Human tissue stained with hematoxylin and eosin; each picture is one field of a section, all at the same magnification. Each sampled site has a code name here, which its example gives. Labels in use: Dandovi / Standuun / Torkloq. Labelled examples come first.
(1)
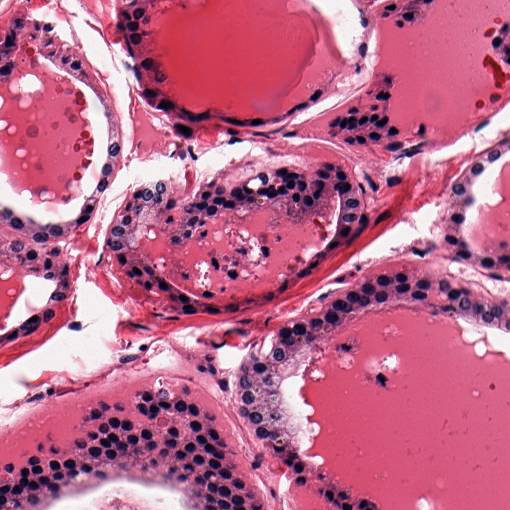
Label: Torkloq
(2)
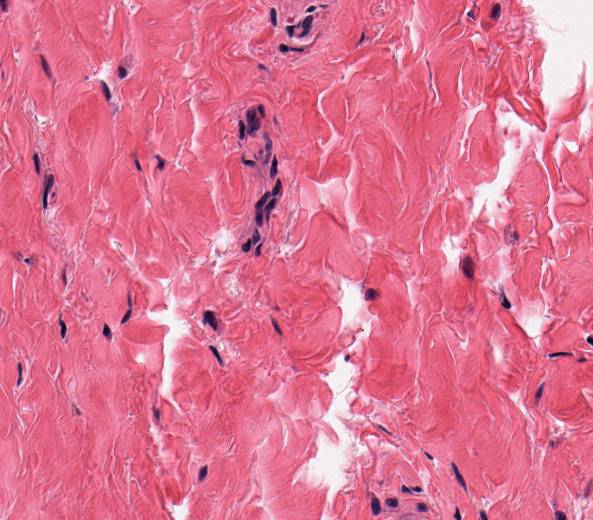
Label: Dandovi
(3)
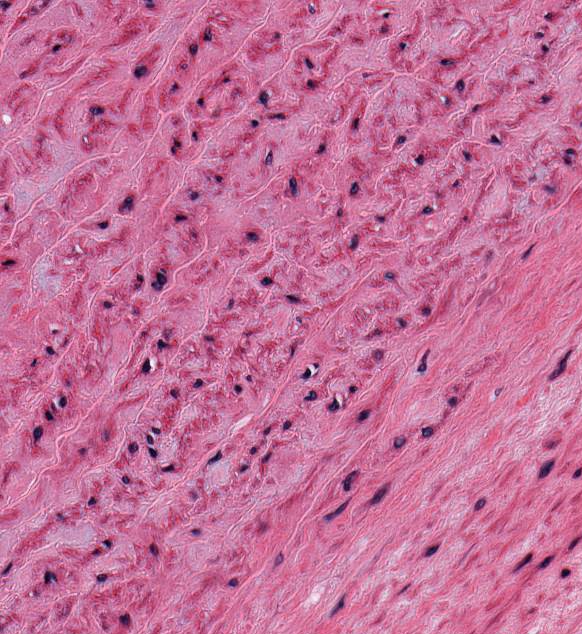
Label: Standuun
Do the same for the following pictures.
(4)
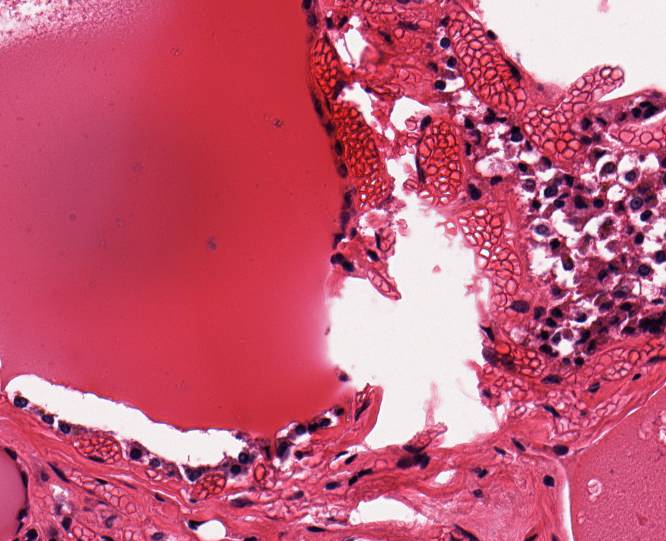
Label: Torkloq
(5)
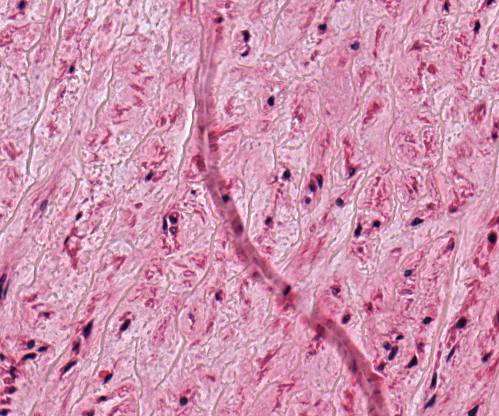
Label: Standuun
